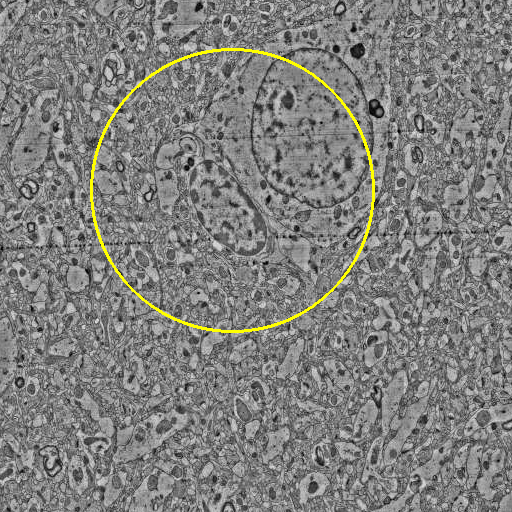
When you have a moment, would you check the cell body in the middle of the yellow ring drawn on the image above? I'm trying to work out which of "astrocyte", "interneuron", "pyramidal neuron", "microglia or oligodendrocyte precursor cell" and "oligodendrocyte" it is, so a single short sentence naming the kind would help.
This cell body belongs to a microglial cell or oligodendrocyte precursor cell.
